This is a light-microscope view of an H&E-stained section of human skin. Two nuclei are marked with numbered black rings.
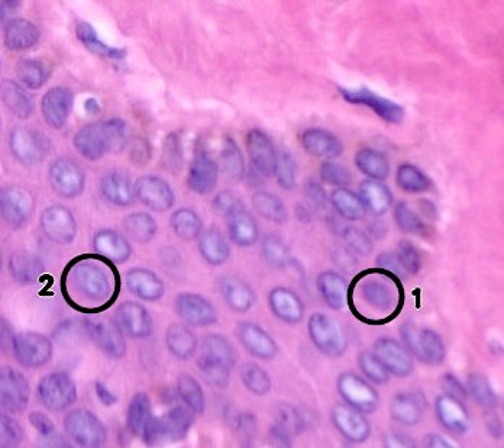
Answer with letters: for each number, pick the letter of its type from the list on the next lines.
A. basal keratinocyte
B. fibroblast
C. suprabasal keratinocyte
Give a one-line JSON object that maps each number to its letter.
{"1": "A", "2": "C"}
